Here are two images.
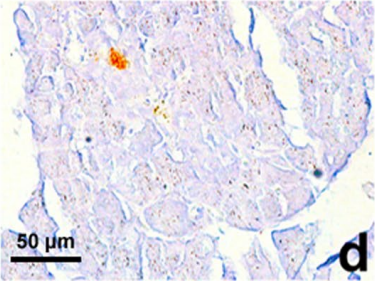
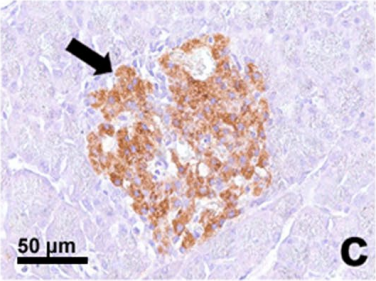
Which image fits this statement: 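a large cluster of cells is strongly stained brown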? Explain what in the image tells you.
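First image: only a tiny brown spot lies within mostly pale tissue. Second image: a large cell cluster is densely stained brown.
The second image.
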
